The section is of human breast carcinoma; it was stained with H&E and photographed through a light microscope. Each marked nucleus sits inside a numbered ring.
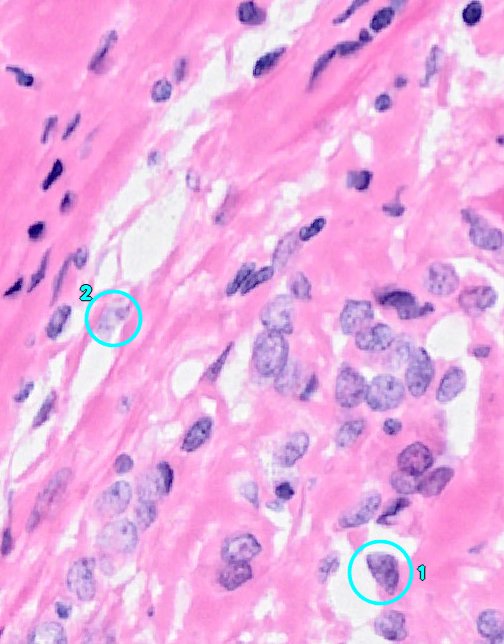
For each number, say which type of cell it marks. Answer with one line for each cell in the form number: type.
1: carcinoma cell
2: fibroblast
